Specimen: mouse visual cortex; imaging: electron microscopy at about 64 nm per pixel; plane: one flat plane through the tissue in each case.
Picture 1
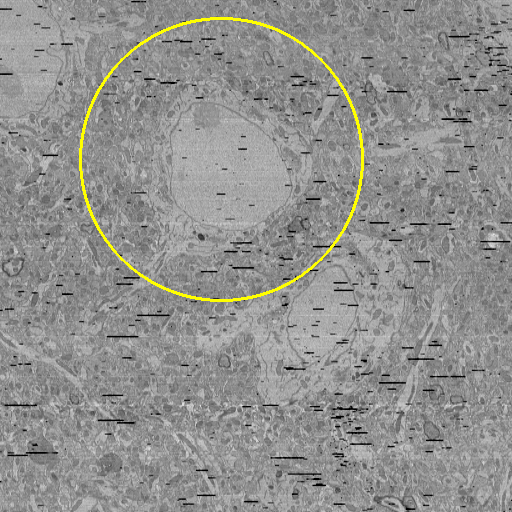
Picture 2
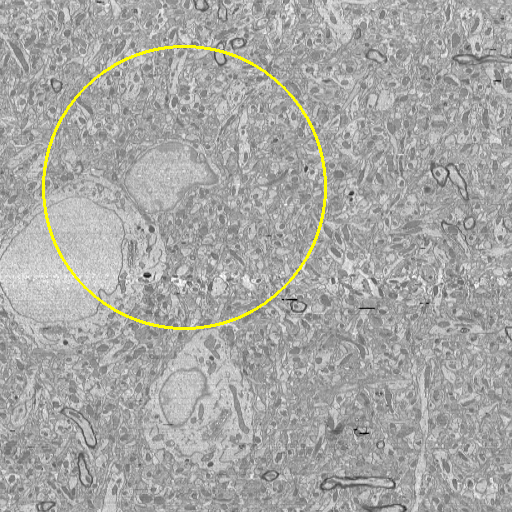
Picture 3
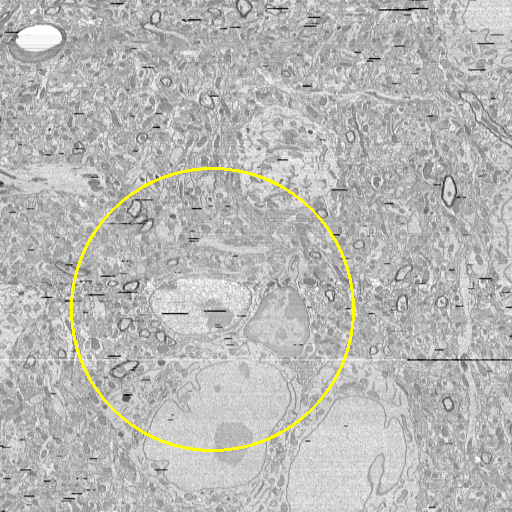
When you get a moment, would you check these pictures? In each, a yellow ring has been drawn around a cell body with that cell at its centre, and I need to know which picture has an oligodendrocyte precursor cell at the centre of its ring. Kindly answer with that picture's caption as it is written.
Picture 2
